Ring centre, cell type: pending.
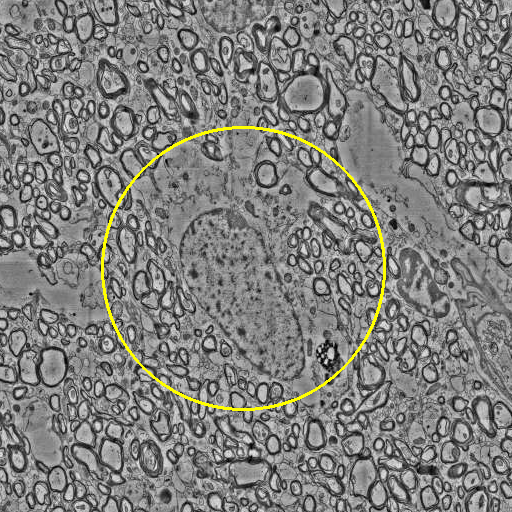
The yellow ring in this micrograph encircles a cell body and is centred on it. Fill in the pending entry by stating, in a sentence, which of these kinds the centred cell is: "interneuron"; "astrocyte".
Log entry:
The centred cell is recorded as an astrocyte.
